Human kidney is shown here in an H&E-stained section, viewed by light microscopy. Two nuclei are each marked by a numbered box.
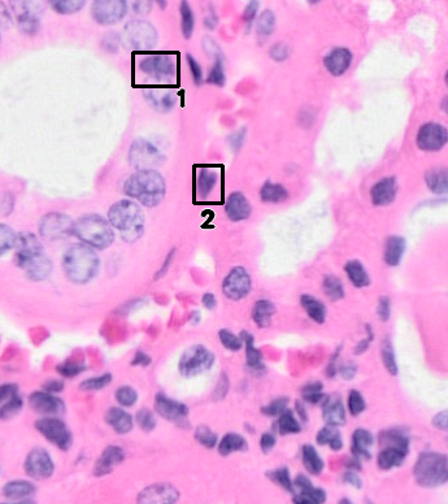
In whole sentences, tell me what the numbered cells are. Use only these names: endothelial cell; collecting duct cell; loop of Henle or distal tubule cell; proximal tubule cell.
Cell 1 is a collecting duct cell. Cell 2 is an endothelial cell.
